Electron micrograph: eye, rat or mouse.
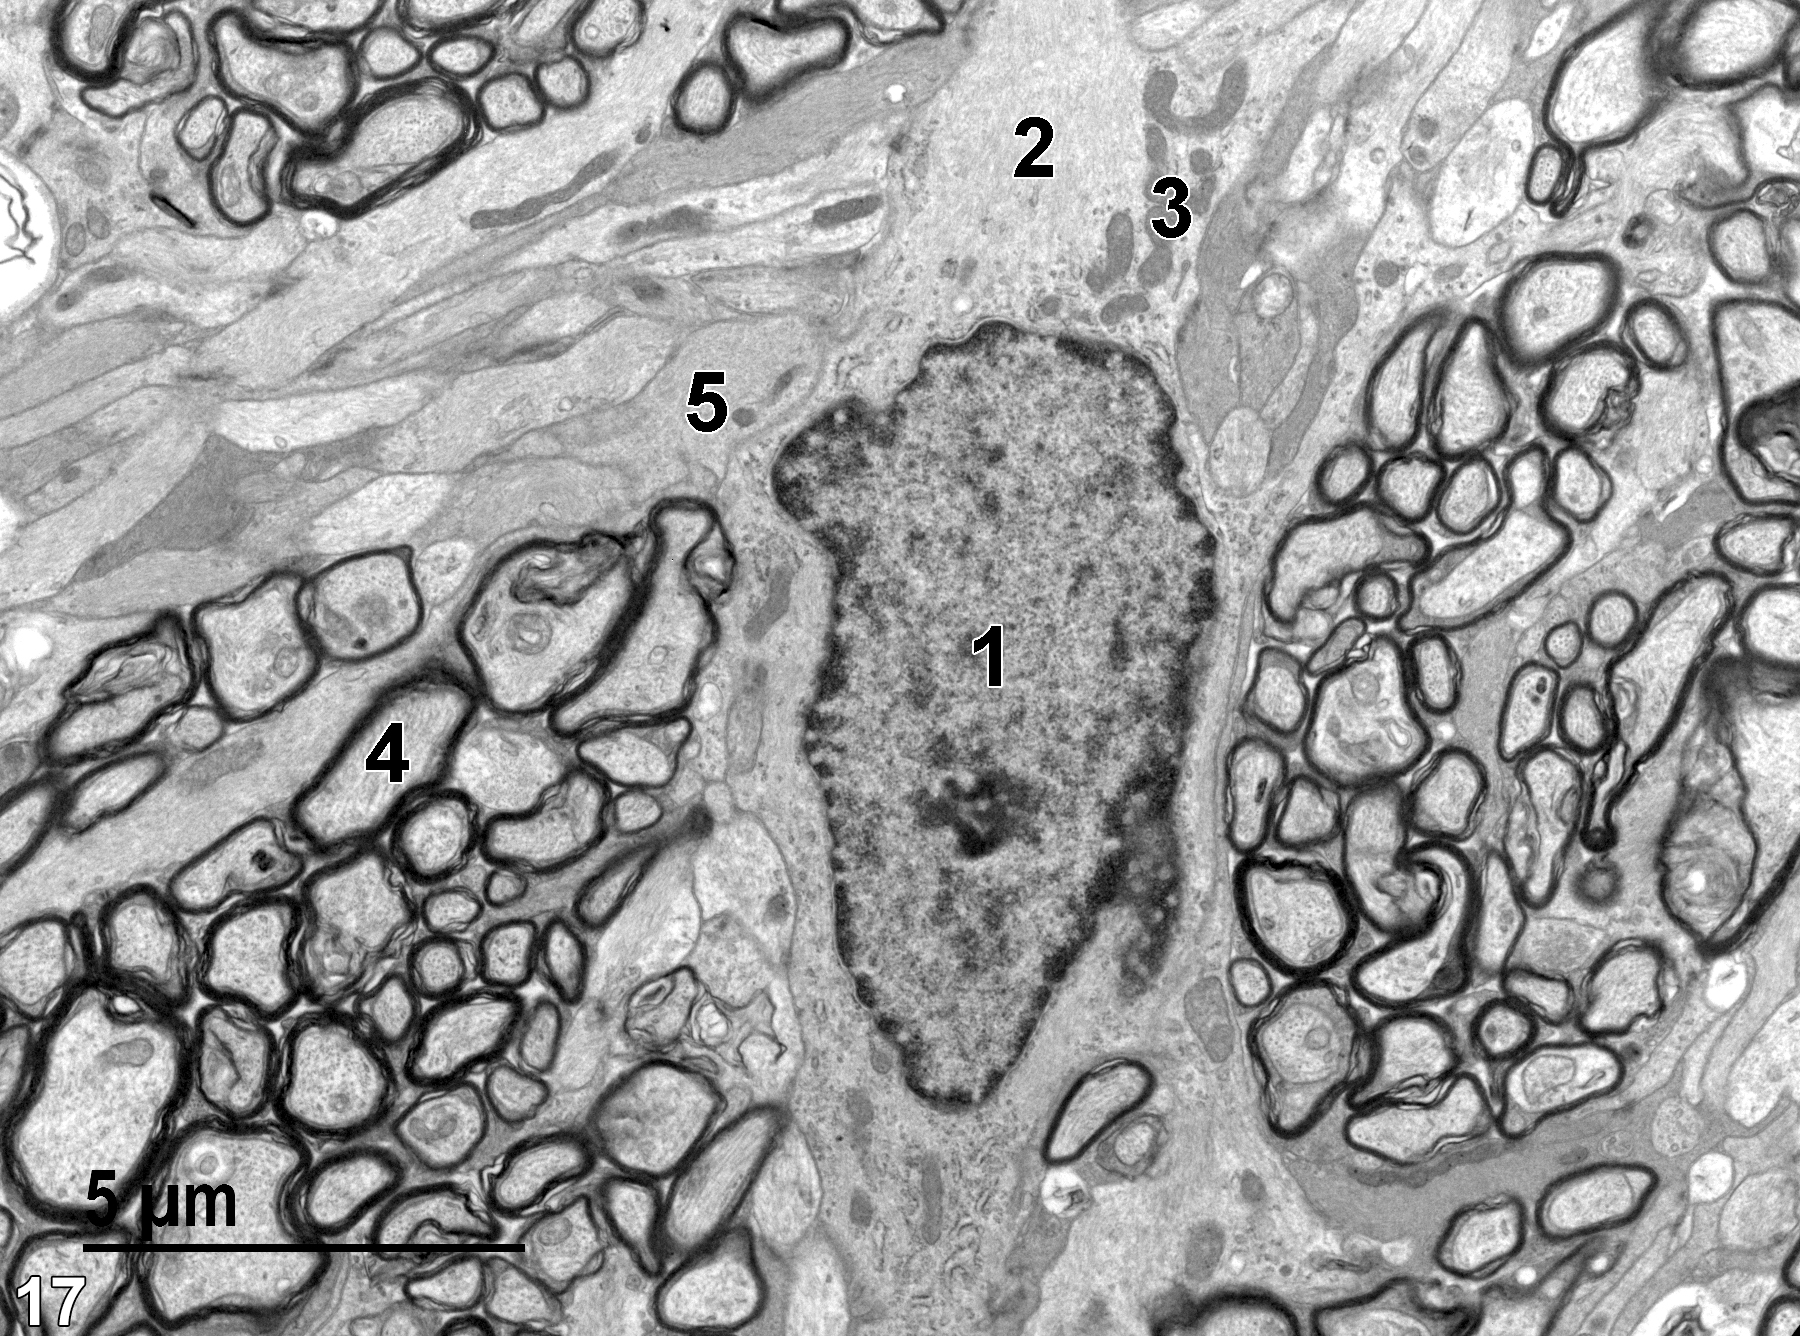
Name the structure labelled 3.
mitochondria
